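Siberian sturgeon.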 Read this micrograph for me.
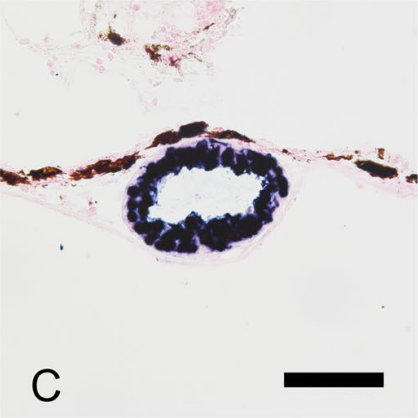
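A thin, pale pink connective tissue capsule encloses the vesicle. Directly above it runs a band of flattened, brown-black pigmented cells in the overlying membranes, and loose, faintly pink tissue fragments with further pigment lie above that. The surrounding space is otherwise empty.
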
